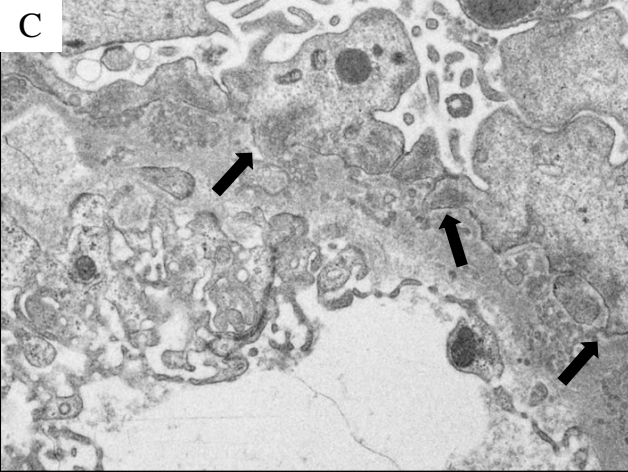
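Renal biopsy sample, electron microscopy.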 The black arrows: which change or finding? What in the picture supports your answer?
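Arrows point to membrane-bound cell profiles embedded within a thick grey basement membrane. The embedded profiles lie between the urinary space above and capillary lumen below. That points to this answer: podocytic infolding.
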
